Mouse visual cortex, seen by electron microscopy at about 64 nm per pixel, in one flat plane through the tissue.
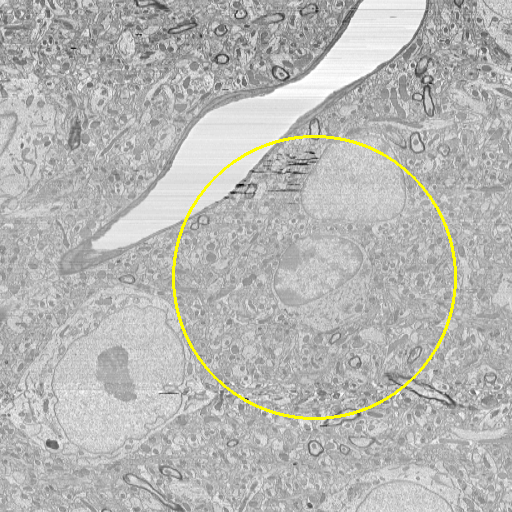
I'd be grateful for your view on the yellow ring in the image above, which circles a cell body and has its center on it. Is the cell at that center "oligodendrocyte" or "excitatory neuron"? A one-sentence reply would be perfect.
The cell at the center of the yellow ring is an oligodendrocyte.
